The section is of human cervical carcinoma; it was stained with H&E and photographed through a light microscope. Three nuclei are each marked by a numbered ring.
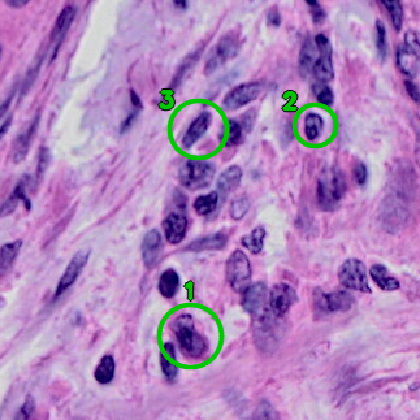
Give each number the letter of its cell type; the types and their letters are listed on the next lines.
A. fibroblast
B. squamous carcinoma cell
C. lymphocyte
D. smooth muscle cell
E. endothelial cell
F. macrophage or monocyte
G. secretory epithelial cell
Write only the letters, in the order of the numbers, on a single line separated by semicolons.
F; C; C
